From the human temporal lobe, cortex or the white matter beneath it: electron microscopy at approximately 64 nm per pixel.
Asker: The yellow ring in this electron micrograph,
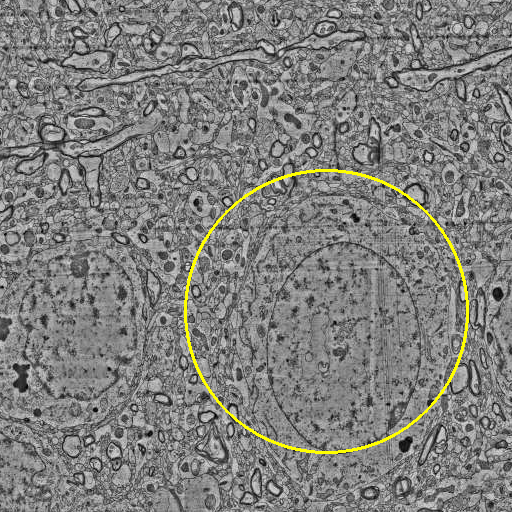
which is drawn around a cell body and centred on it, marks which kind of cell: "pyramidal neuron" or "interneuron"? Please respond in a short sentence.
The marked cell is a pyramidal neuron.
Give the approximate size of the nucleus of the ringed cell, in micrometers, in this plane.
Approximately 13 x 10 micrometres in this plane.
